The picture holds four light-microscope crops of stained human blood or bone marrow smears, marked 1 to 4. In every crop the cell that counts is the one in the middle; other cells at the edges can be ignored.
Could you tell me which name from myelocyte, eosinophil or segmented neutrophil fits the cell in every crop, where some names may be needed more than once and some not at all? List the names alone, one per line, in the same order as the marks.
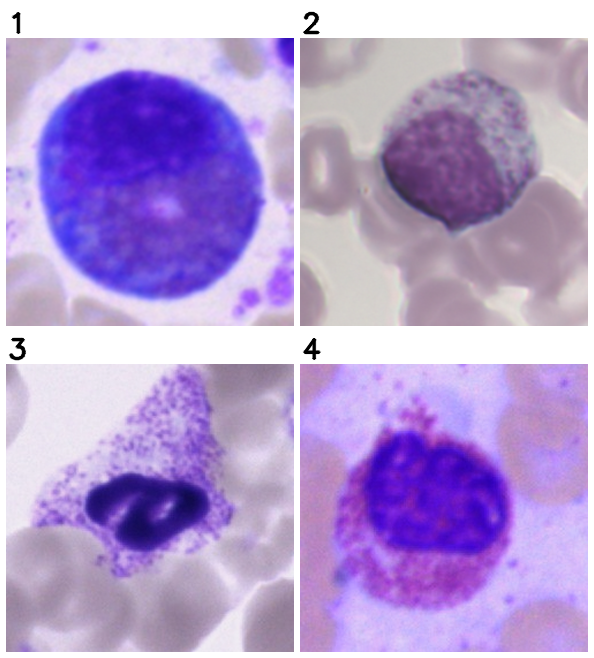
eosinophil
myelocyte
segmented neutrophil
eosinophil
